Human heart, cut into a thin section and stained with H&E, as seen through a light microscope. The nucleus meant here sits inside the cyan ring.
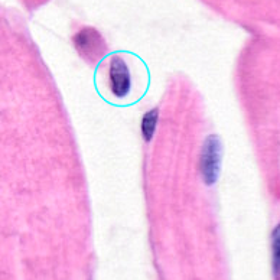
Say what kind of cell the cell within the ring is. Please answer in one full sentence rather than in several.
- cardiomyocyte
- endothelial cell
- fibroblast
In this section of tissue, the cell within the ring is a fibroblast.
